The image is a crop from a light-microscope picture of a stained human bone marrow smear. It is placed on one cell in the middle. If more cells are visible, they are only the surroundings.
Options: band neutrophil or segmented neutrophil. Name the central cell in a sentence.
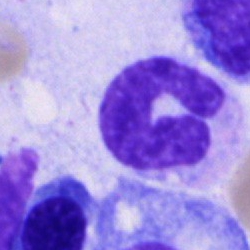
Answering briefly, the cell in the middle is a band neutrophil.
